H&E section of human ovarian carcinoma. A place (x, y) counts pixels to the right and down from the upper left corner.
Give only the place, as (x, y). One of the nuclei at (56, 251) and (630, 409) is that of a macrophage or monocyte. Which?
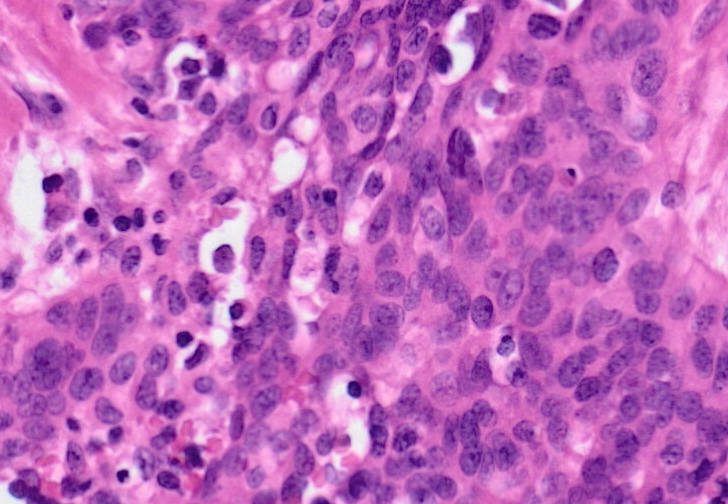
(56, 251)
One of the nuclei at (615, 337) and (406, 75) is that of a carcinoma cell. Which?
(615, 337)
